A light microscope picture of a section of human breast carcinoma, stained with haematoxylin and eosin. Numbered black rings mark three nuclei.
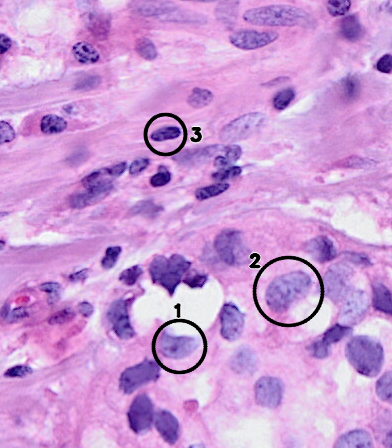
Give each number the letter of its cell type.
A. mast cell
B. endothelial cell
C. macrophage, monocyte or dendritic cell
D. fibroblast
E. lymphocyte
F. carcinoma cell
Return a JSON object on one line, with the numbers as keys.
{"1": "F", "2": "F", "3": "E"}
